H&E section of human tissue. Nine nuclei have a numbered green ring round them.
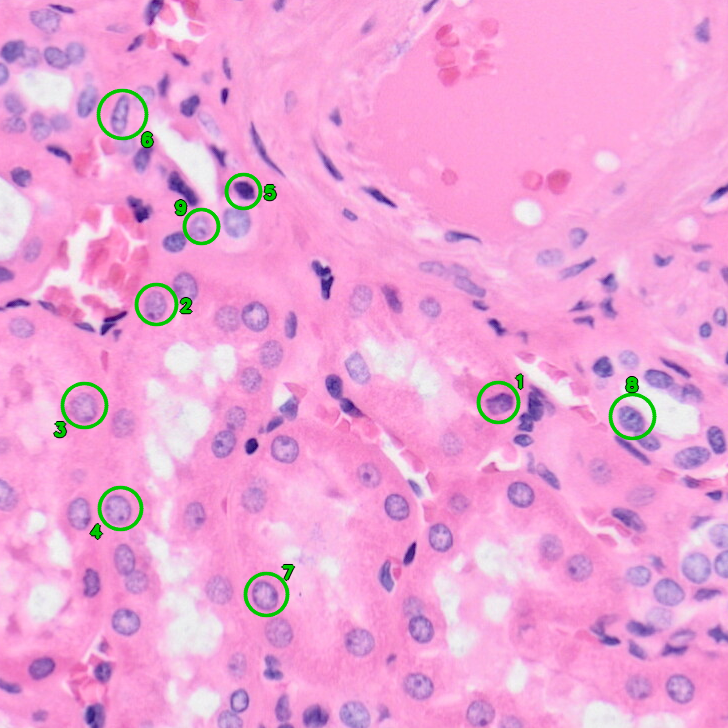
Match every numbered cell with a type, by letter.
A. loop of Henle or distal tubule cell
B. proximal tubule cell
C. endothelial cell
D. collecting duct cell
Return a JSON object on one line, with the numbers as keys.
{"1": "B", "2": "B", "3": "B", "4": "B", "5": "D", "6": "D", "7": "B", "8": "D", "9": "D"}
